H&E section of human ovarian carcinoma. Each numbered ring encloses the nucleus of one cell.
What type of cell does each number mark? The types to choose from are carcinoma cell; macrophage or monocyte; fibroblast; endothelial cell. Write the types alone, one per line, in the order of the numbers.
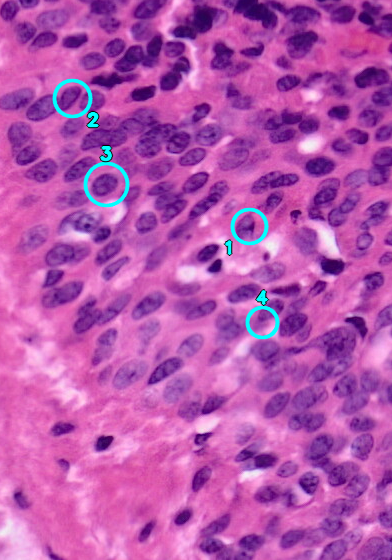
endothelial cell
carcinoma cell
carcinoma cell
carcinoma cell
